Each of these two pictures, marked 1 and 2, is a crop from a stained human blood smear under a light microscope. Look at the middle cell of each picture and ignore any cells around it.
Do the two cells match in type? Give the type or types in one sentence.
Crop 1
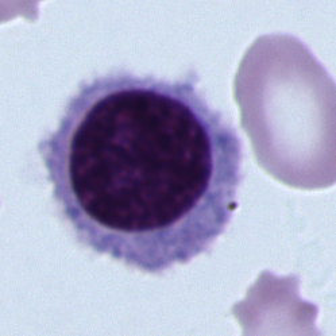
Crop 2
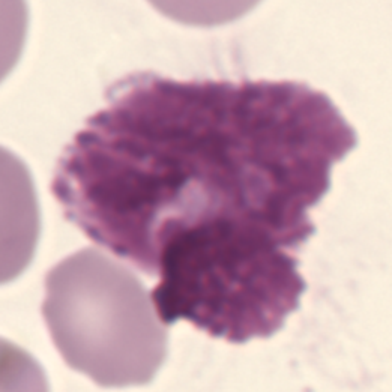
No, in crop 2 the central cell is a smudge cell, and in crop 1 it is a hairy cell.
